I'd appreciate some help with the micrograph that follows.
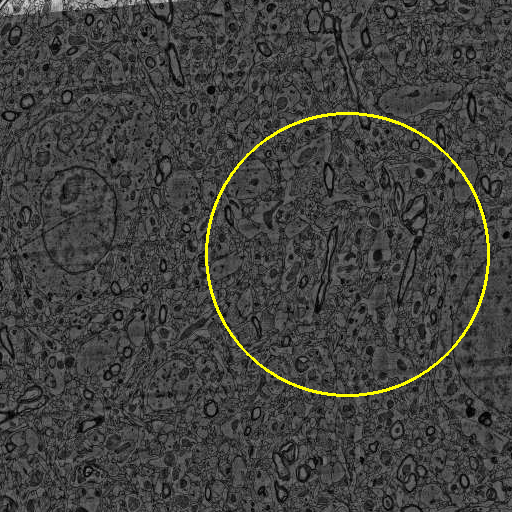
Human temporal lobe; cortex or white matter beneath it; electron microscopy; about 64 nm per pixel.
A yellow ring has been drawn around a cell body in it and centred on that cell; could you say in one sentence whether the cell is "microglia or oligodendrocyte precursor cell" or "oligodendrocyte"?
It is an oligodendrocyte at the centre of the ring.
